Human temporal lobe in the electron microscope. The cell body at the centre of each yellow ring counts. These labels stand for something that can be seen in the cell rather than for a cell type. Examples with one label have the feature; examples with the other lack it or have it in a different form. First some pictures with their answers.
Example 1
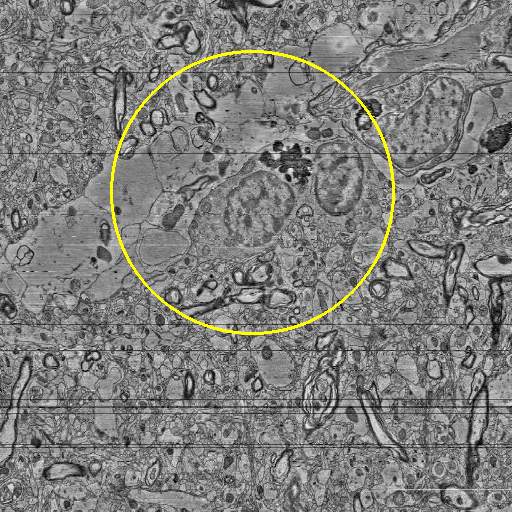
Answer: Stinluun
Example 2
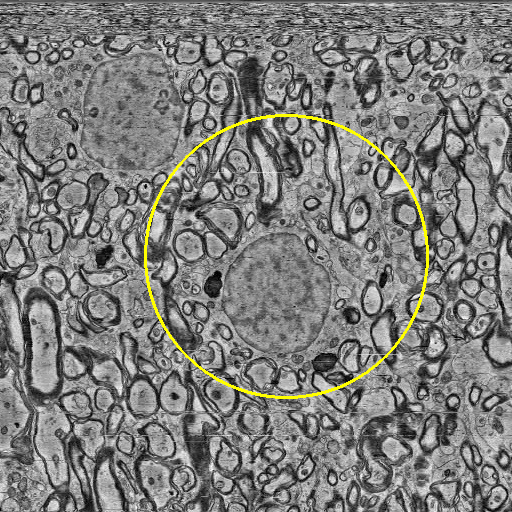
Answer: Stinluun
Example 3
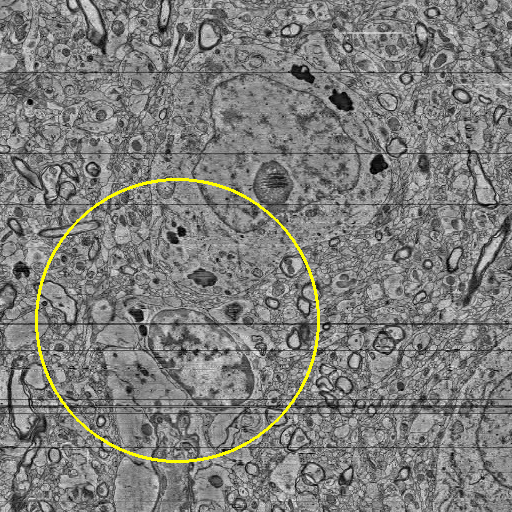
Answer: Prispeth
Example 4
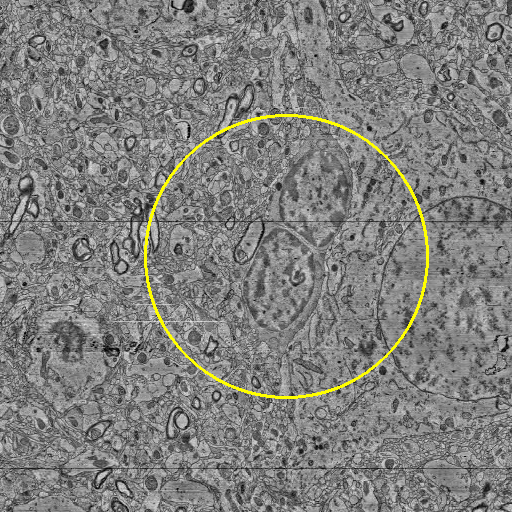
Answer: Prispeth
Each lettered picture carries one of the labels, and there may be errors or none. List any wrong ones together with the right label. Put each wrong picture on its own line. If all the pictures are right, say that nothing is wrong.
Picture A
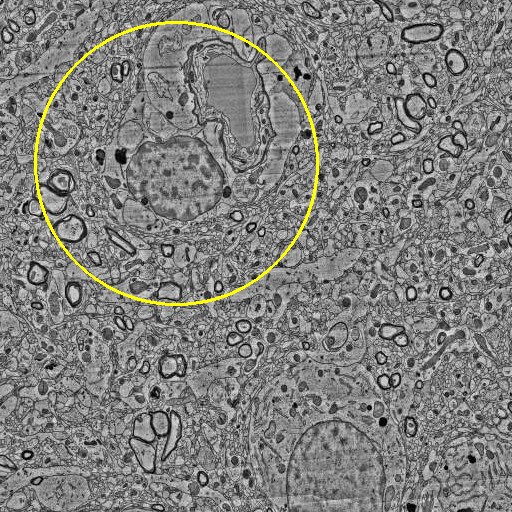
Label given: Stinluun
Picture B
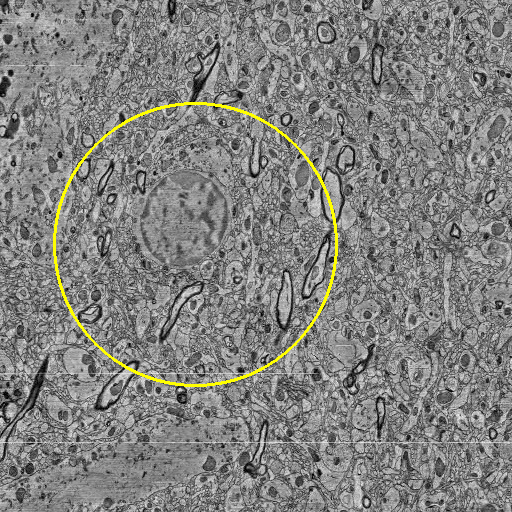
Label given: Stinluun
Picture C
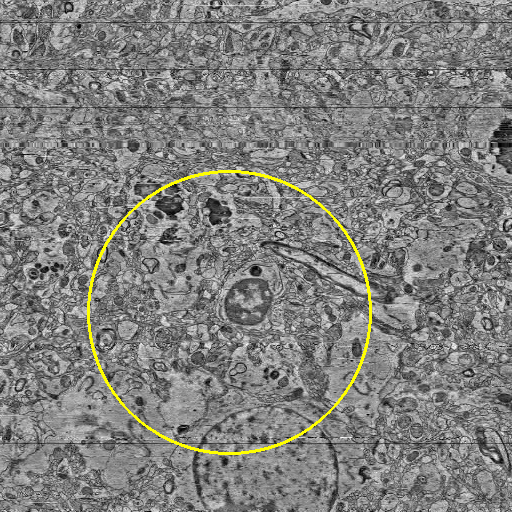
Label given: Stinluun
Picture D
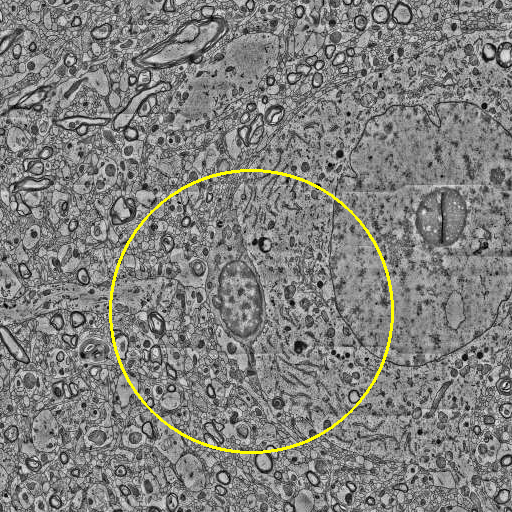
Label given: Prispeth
Nothing to fix; every label fits.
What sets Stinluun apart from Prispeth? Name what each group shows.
Stinluun: round or nearly round nuclei; Prispeth: clearly elongated nuclei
